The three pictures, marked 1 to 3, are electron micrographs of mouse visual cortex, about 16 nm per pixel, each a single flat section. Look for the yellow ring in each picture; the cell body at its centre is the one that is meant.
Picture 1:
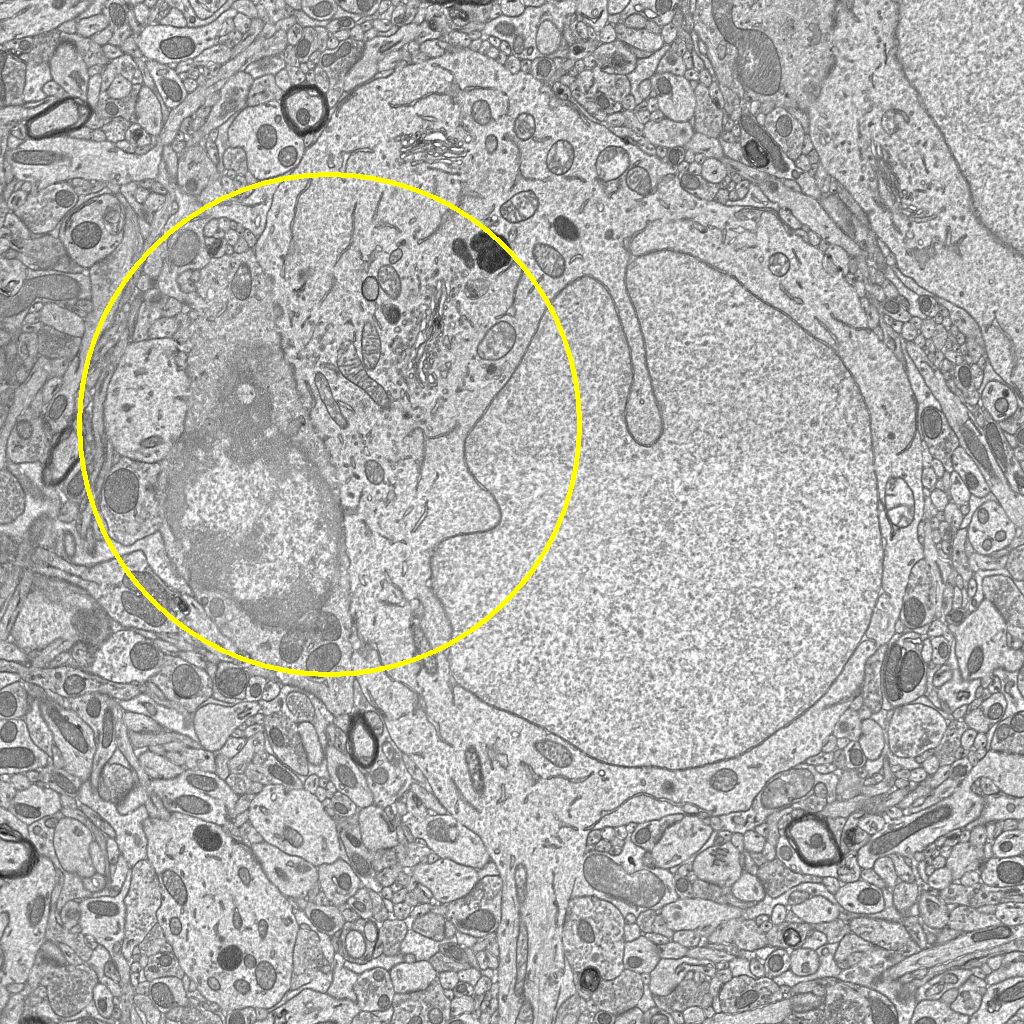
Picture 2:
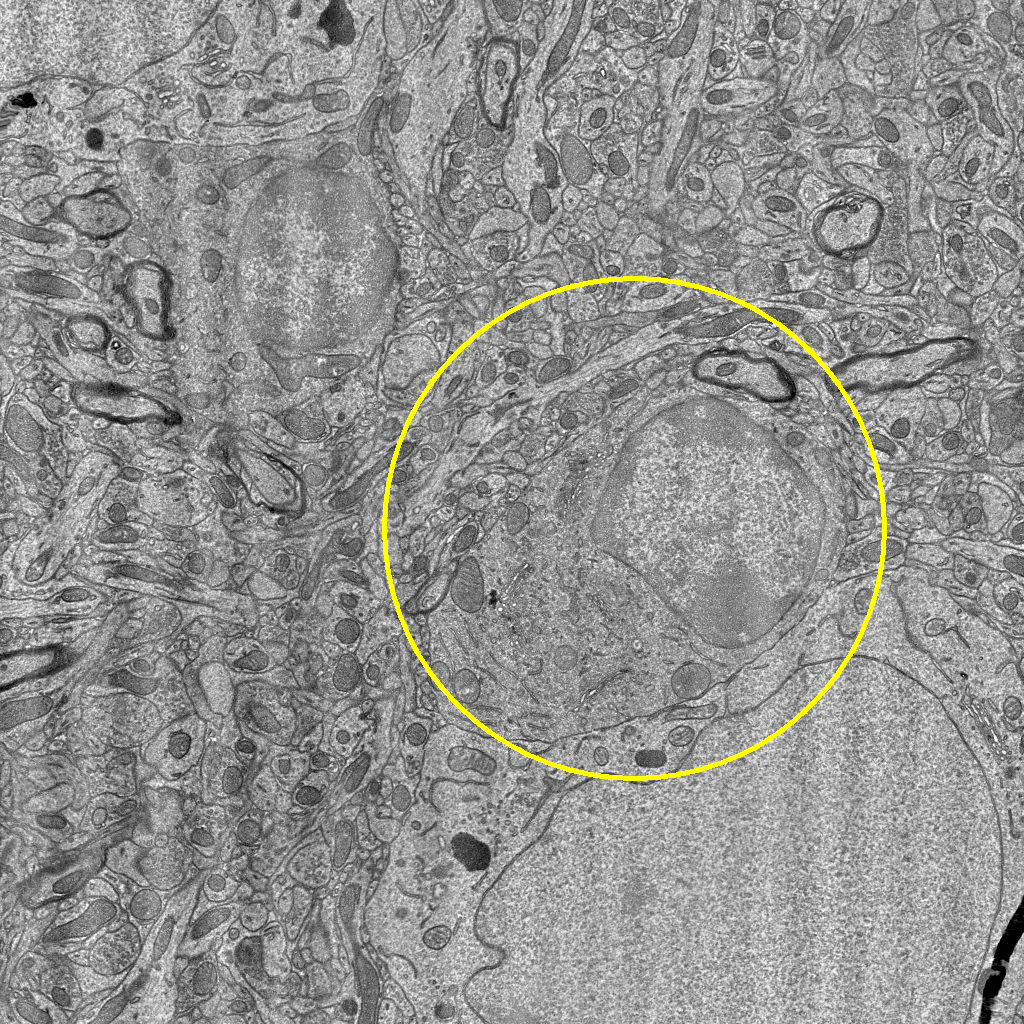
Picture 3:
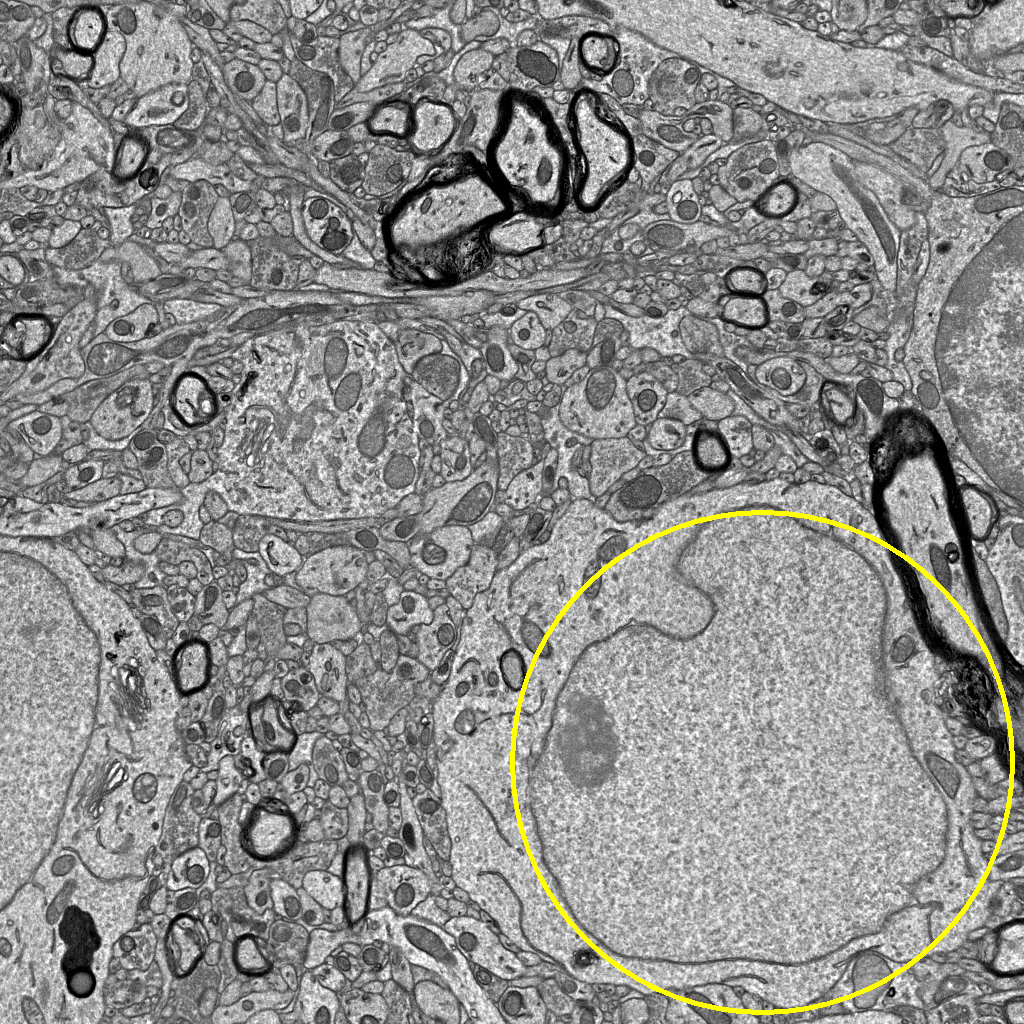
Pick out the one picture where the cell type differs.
The others show oligodendrocytes, but picture 3 shows an excitatory neuron.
